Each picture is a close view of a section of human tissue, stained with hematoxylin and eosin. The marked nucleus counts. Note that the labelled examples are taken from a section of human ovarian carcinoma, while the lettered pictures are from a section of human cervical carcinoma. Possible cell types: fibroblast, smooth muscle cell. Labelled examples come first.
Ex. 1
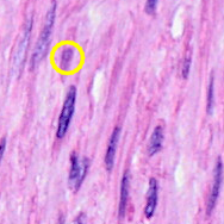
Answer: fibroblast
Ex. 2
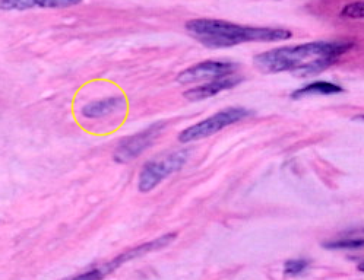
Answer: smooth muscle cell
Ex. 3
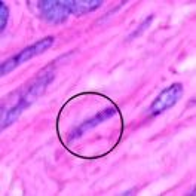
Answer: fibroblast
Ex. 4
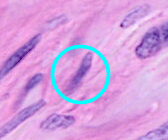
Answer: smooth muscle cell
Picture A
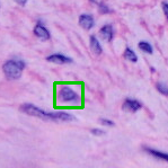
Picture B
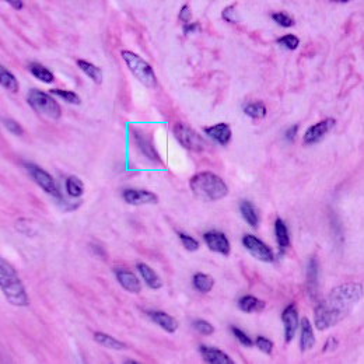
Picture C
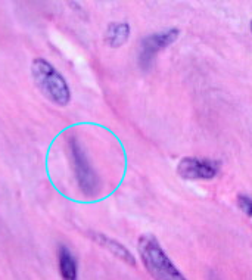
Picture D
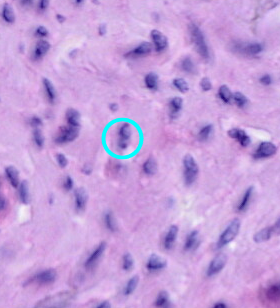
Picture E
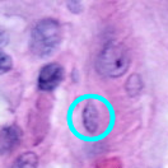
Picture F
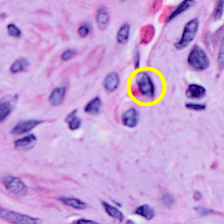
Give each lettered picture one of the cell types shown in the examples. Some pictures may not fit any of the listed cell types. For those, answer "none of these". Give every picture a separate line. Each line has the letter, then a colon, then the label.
A: smooth muscle cell
B: none of these
C: fibroblast
D: fibroblast
E: none of these
F: none of these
